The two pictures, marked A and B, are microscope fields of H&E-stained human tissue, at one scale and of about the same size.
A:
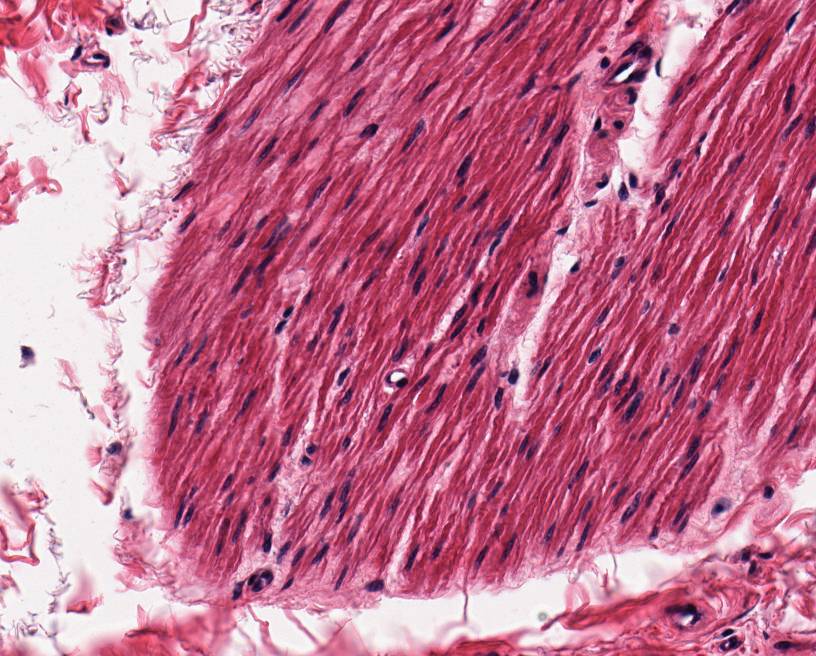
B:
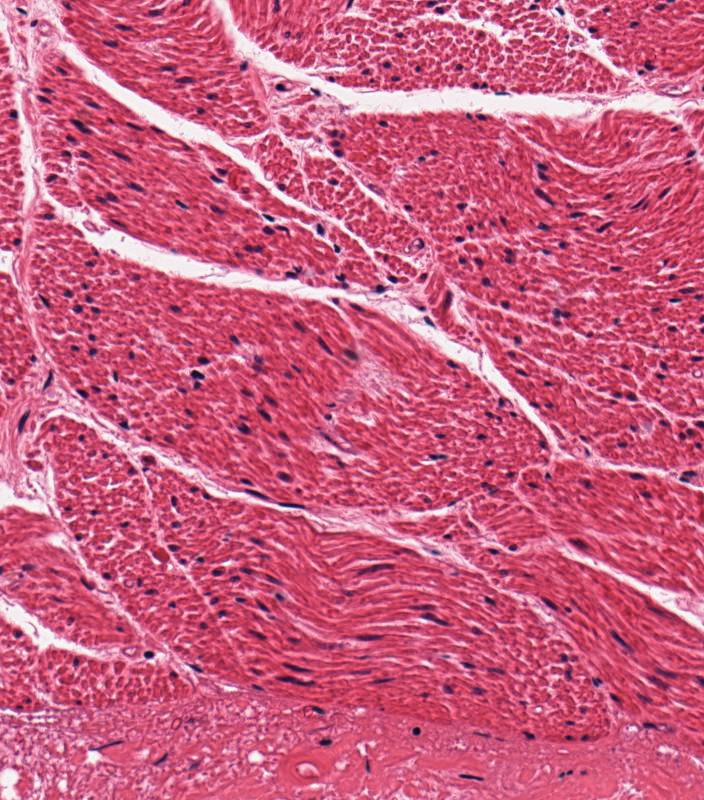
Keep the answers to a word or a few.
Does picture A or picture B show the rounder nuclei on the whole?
B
